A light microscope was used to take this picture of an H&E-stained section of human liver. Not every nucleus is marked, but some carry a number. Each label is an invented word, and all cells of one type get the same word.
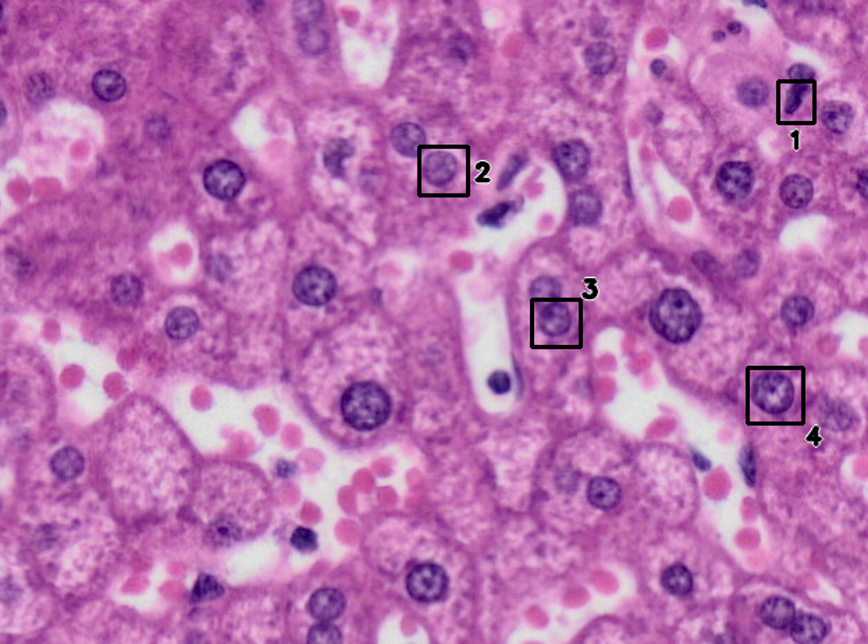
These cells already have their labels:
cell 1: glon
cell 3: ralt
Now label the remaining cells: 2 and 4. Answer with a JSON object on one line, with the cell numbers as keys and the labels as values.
{"2": "ralt", "4": "ralt"}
